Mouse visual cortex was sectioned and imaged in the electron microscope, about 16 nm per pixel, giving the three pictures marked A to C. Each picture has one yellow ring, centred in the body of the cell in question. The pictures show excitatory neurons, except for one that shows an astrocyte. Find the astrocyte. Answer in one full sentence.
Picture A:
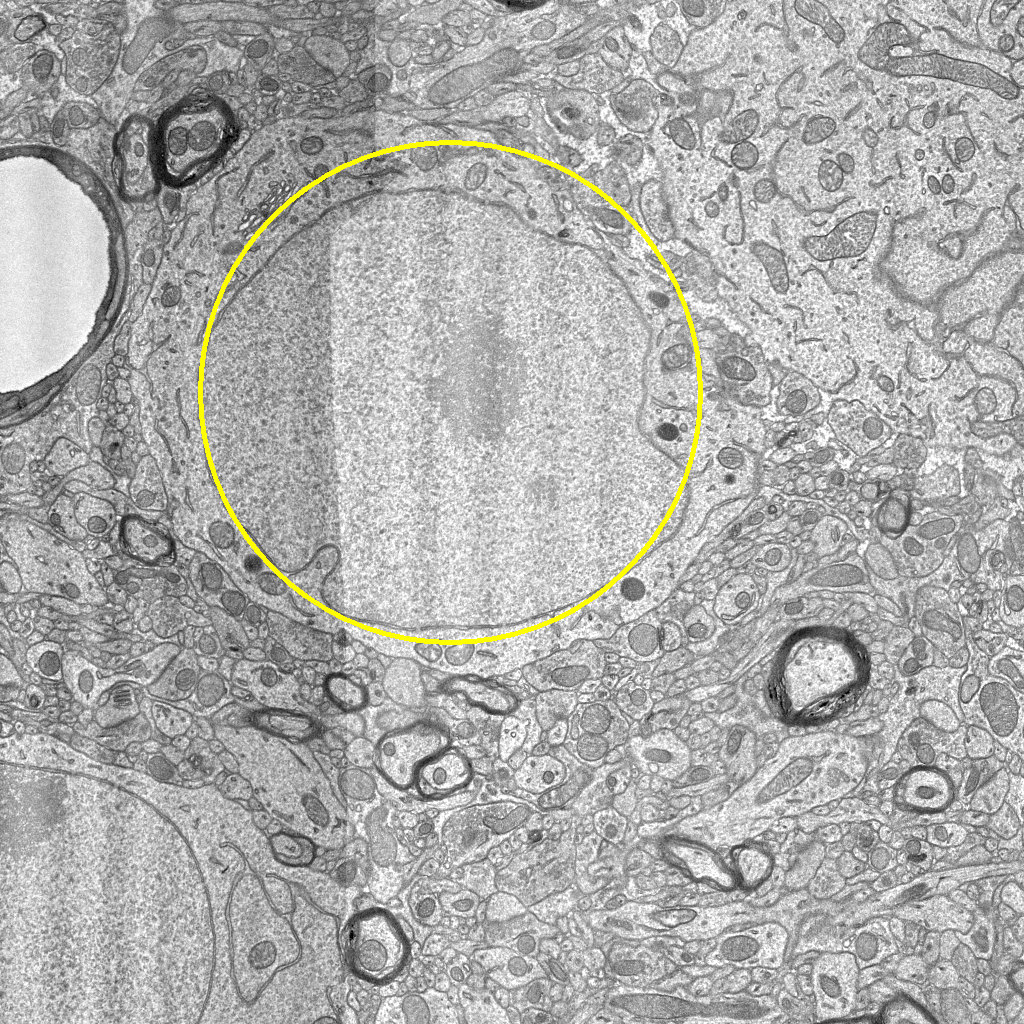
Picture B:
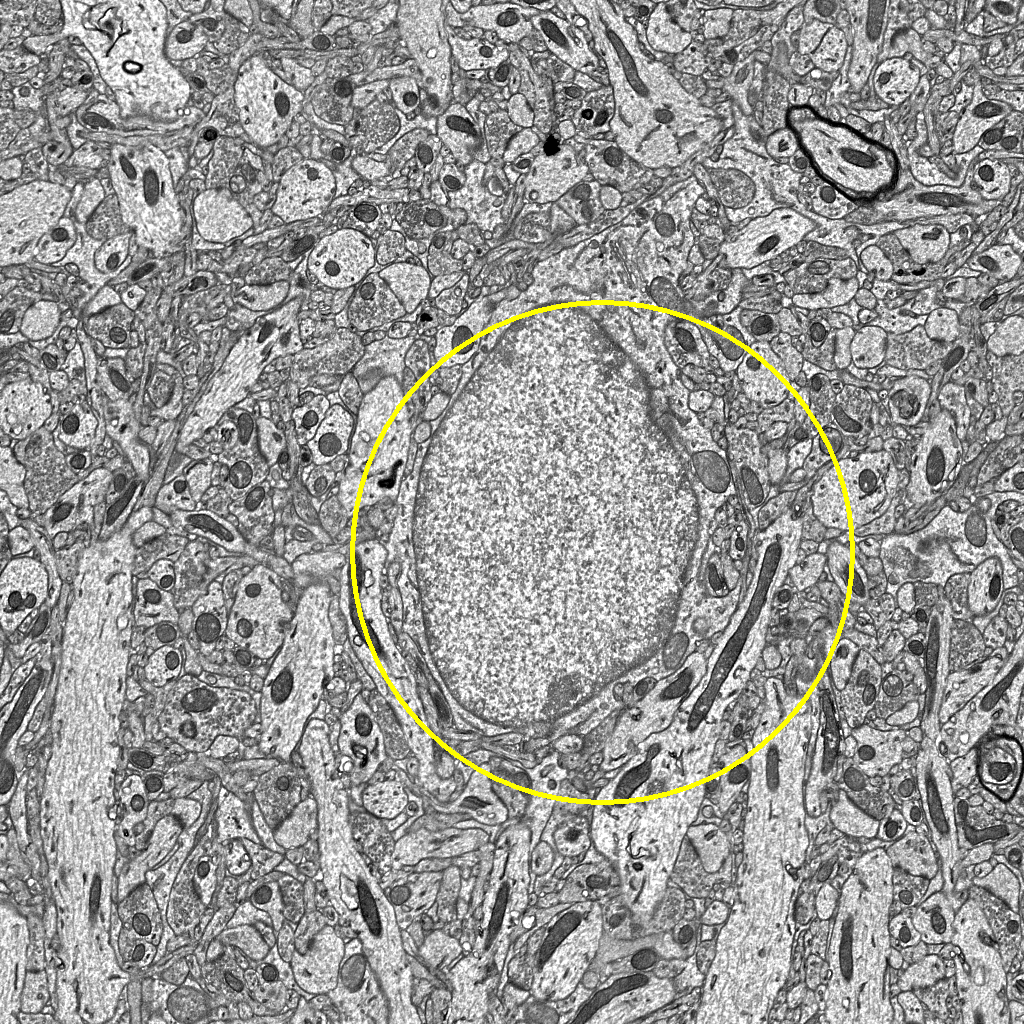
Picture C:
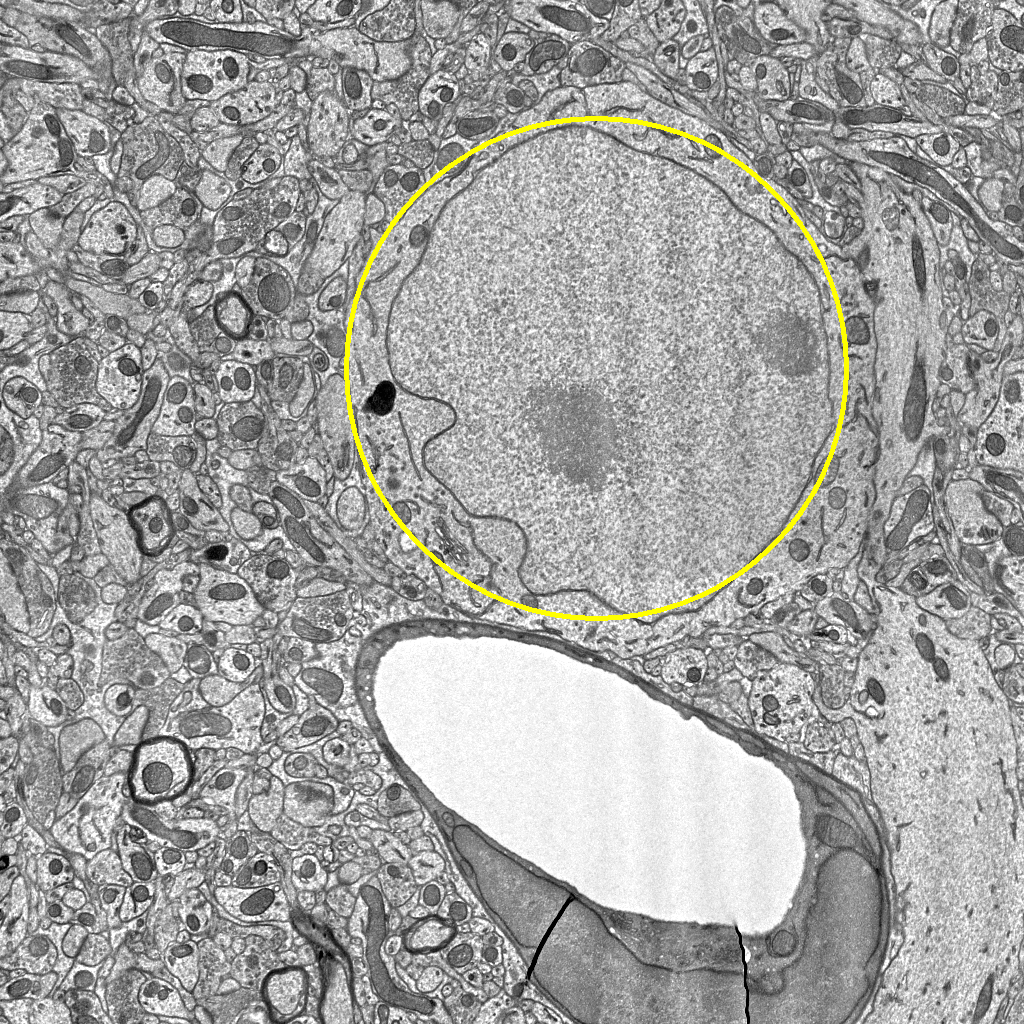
The astrocyte is the one in picture B.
